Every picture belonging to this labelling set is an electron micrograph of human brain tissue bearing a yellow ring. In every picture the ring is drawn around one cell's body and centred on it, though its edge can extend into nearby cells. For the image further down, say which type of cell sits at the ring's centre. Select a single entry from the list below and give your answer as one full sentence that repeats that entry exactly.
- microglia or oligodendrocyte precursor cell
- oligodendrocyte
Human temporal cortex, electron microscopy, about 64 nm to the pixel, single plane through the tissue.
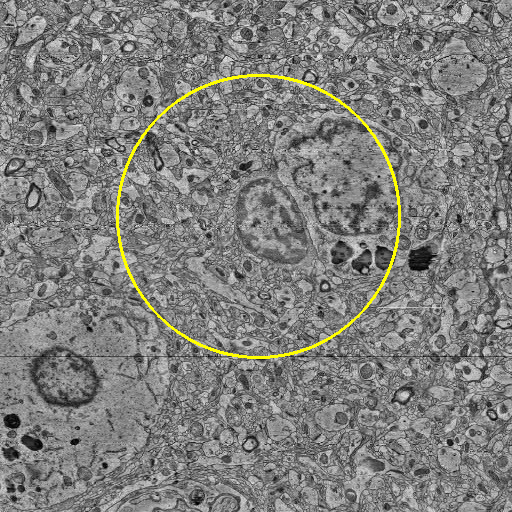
In the picture, an oligodendrocyte is the cell at the centre of the yellow ring.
